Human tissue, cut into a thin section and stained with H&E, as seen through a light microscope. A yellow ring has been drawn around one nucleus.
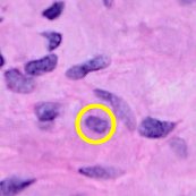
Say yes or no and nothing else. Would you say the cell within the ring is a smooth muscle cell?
no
